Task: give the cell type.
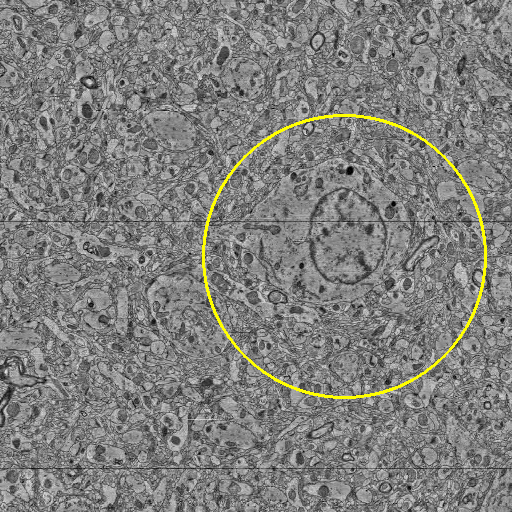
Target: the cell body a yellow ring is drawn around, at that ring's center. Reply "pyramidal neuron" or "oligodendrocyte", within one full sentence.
In this picture, the cell whose body lies at the ring's center is a pyramidal neuron.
